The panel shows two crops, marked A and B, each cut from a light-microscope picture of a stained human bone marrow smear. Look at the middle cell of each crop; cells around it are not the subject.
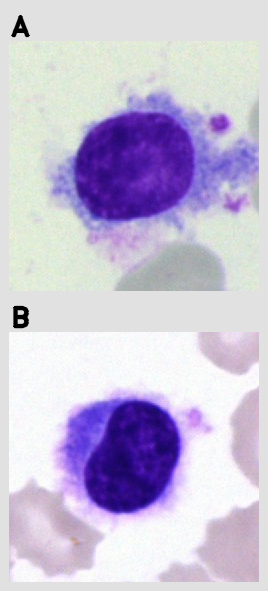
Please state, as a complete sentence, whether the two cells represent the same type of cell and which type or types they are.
Yes, with regard to both crops, the central cells are hairy cells.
